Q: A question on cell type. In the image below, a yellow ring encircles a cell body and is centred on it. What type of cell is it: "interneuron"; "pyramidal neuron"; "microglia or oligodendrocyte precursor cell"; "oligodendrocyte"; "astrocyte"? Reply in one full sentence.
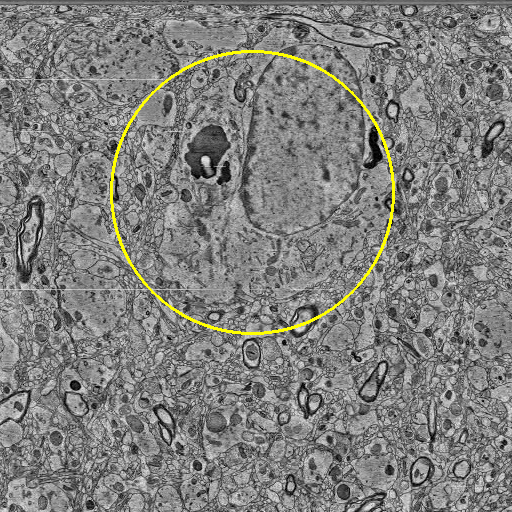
It is a microglial cell or oligodendrocyte precursor cell whose cell body sits at the centre of the yellow ring in the image.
